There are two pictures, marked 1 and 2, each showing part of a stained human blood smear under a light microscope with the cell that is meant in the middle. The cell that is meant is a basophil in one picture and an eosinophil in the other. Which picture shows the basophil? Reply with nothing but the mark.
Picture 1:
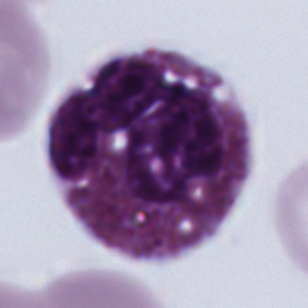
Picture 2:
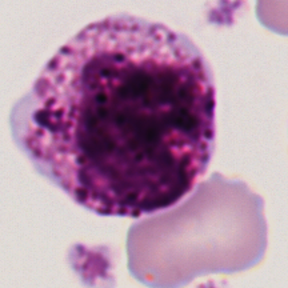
2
